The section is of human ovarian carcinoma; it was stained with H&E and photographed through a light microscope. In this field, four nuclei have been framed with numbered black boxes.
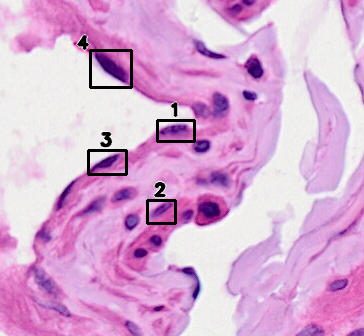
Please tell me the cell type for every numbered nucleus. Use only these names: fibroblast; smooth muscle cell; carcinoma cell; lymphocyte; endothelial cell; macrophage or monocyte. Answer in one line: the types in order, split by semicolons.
endothelial cell; smooth muscle cell; endothelial cell; endothelial cell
